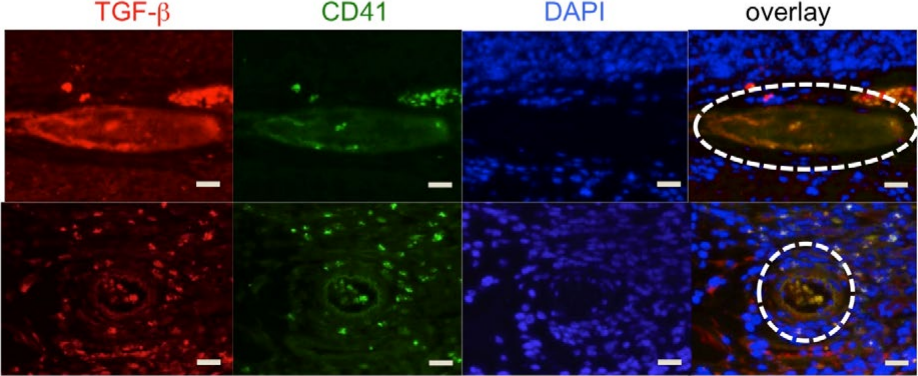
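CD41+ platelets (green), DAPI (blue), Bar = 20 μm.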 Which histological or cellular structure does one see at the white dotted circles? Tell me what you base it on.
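Each dotted circle encloses a rounded or elongated structure with a distinct wall. Small bright dots lie inside the enclosed space.
Answer: blood vessels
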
